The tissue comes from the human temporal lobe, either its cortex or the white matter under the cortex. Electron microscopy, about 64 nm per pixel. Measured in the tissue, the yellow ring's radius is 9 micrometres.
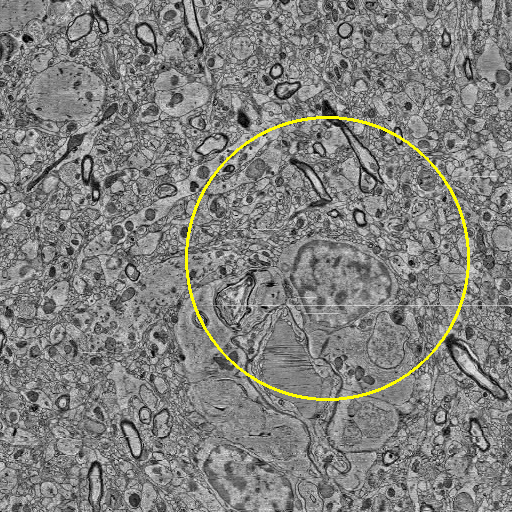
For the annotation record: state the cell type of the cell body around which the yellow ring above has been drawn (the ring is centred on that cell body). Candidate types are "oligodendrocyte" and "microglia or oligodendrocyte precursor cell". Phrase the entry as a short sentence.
The ringed cell is an oligodendrocyte.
